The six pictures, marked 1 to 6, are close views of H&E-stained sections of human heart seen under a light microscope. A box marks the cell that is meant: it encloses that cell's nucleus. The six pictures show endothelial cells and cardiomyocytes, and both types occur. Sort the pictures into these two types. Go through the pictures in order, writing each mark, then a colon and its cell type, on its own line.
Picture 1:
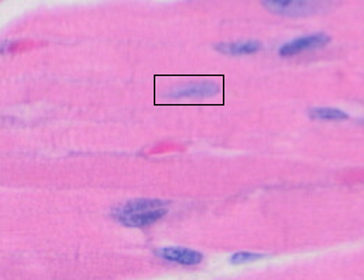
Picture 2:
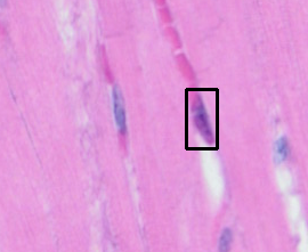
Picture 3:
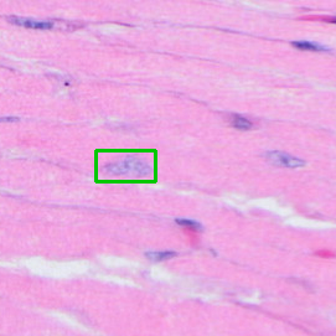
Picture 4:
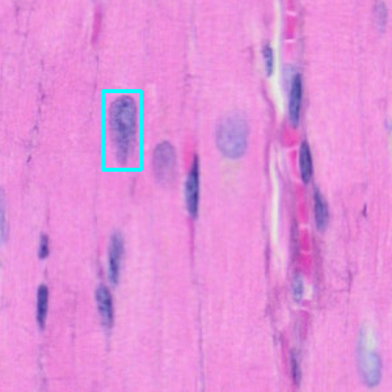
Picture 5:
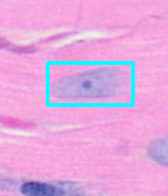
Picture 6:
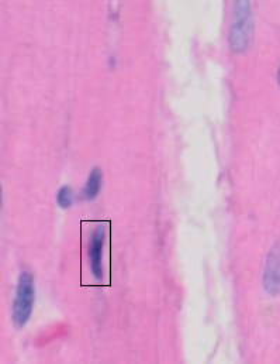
1: cardiomyocyte
2: endothelial cell
3: cardiomyocyte
4: cardiomyocyte
5: cardiomyocyte
6: endothelial cell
